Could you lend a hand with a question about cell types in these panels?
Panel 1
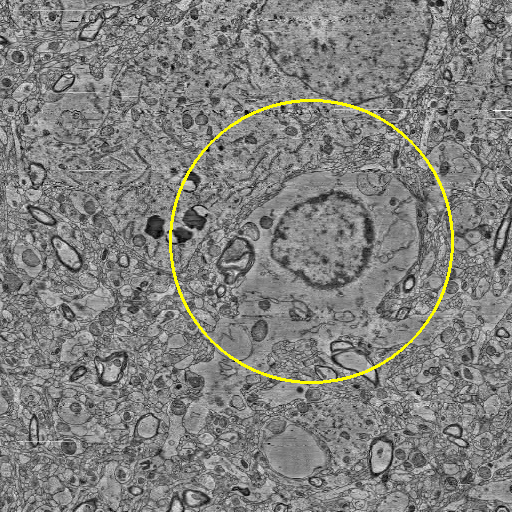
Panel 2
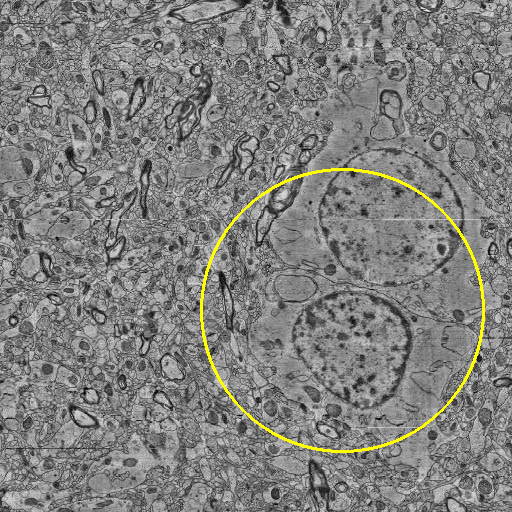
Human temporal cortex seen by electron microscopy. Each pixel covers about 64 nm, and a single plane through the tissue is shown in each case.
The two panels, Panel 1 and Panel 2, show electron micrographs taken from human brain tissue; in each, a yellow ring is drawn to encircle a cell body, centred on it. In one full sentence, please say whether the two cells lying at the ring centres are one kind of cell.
Yes, the cells at the ring centres in the two panels are one kind of cell.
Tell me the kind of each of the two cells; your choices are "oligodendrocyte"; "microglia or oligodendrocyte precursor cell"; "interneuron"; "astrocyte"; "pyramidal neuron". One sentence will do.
Both cells are the same kind, each one being an astrocyte.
